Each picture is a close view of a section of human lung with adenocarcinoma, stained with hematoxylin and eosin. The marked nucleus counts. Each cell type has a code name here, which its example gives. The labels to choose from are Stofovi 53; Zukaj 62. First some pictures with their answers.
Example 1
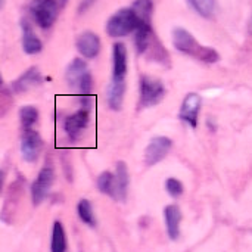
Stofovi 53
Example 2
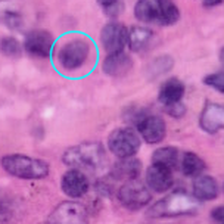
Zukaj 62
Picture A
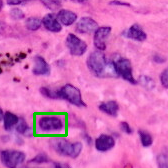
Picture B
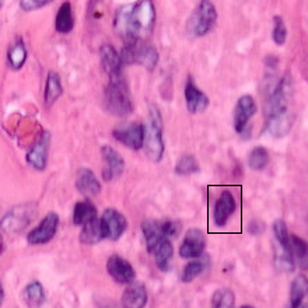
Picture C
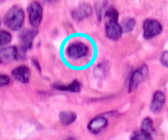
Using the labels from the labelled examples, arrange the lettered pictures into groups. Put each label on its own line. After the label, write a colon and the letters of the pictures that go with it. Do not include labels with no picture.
Stofovi 53: A, B
Zukaj 62: C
